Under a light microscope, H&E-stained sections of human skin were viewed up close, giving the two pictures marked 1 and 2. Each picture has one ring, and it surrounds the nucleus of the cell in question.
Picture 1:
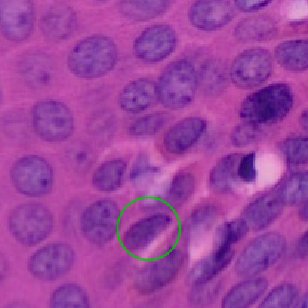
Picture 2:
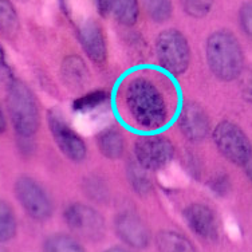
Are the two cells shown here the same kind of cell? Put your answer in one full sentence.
Yes; the cells in both pictures are basal keratinocytes.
